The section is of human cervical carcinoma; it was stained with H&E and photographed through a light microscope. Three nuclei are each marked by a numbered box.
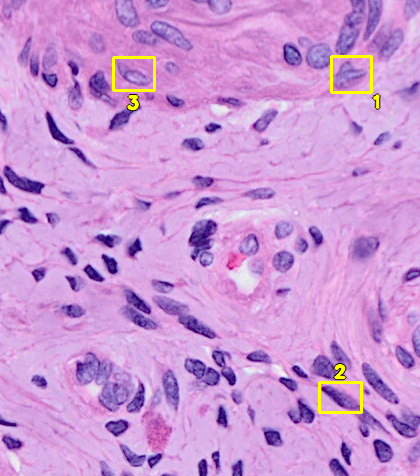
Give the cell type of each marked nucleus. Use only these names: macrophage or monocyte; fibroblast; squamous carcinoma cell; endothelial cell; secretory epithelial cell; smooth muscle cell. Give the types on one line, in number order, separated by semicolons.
smooth muscle cell; fibroblast; smooth muscle cell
